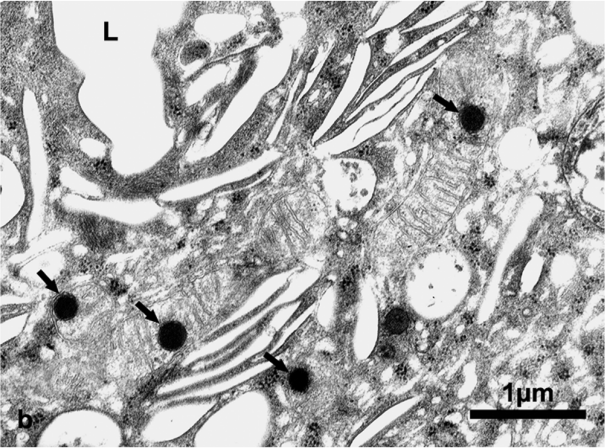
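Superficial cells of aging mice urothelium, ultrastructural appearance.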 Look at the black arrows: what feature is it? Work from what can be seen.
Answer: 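Electron-dense inclusions. Each arrow points to a small round, very dark body. The dark bodies lie within or against organelles that show striped inner membranes.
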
